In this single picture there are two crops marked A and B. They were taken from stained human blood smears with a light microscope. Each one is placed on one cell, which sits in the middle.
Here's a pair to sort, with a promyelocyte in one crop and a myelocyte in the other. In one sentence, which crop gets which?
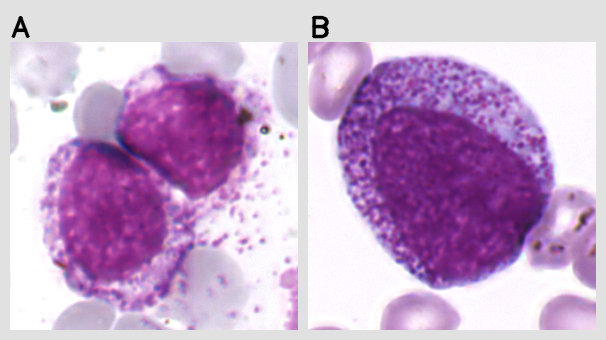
Crop A represents a myelocyte, while crop B represents a promyelocyte.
